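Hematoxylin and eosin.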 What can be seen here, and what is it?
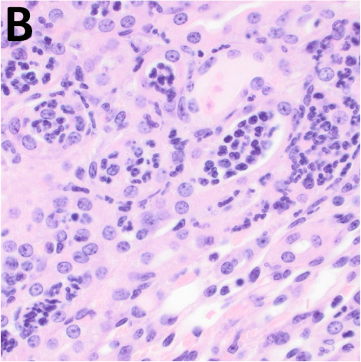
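This is renal cortex at high power in which several tubules are filled with neutrophils, seen as tight clusters of small cells with dark, lobulated nuclei. Around these clusters the tubular lining cells have round, pale nuclei with visible nucleoli and pink cytoplasm, and in places the lining looks thinned or lost. Between tubules there are further scattered dark-nucleated inflammatory cells in the interstitium. The normal tidy arrangement of tubules is disrupted, giving a picture of purulent nephritis with damaged tubules.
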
